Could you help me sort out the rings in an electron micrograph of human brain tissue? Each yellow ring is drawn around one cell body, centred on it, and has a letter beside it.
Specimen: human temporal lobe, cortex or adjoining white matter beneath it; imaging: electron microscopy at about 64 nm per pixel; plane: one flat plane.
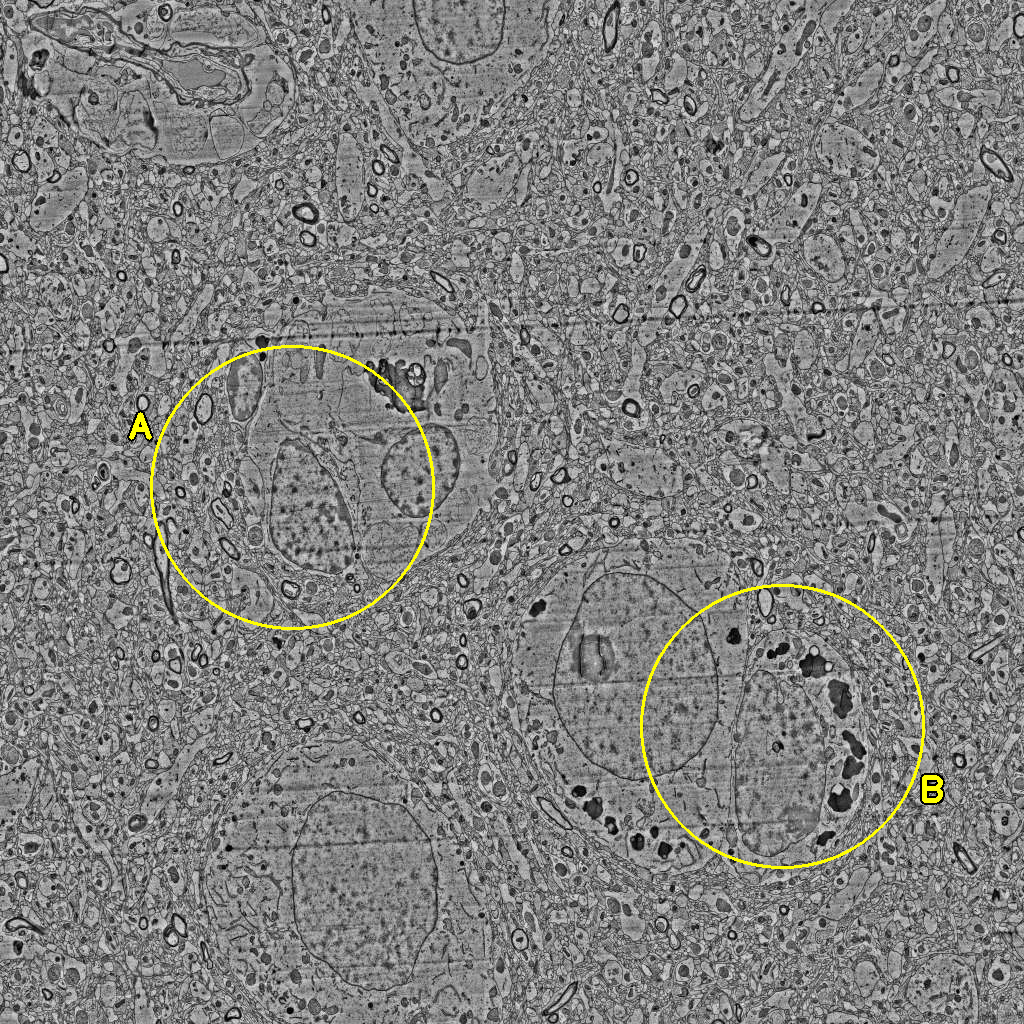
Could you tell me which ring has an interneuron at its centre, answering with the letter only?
B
